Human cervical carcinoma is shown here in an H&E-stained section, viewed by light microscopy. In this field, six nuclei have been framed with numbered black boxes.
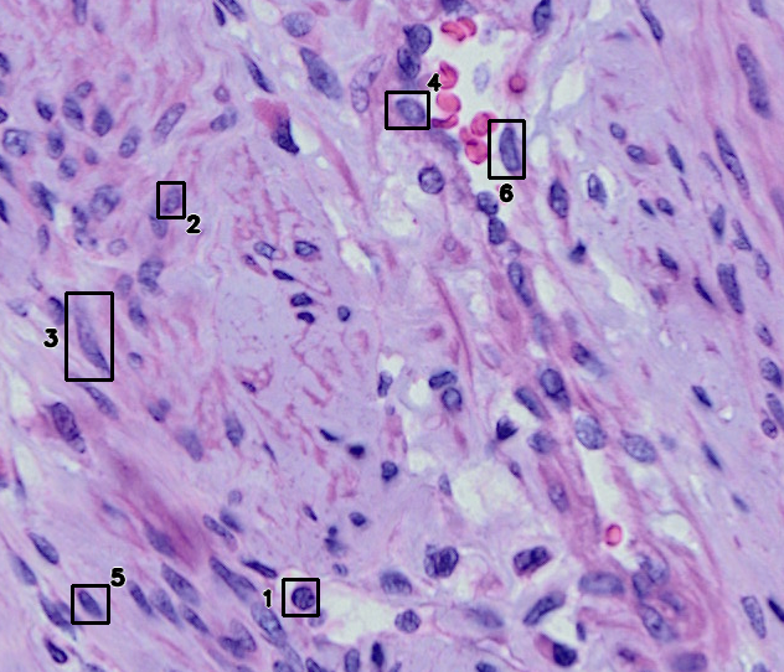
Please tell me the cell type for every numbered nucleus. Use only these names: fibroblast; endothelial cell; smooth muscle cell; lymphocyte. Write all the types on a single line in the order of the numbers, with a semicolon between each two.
lymphocyte; smooth muscle cell; smooth muscle cell; endothelial cell; fibroblast; endothelial cell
